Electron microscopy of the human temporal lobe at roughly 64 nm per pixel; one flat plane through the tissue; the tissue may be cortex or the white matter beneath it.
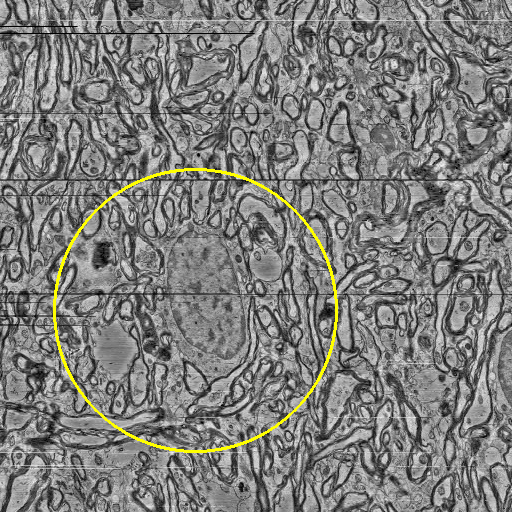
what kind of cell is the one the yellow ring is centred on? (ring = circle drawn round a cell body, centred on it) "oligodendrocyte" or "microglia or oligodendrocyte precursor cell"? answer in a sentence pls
The ring is drawn around an oligodendrocyte.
